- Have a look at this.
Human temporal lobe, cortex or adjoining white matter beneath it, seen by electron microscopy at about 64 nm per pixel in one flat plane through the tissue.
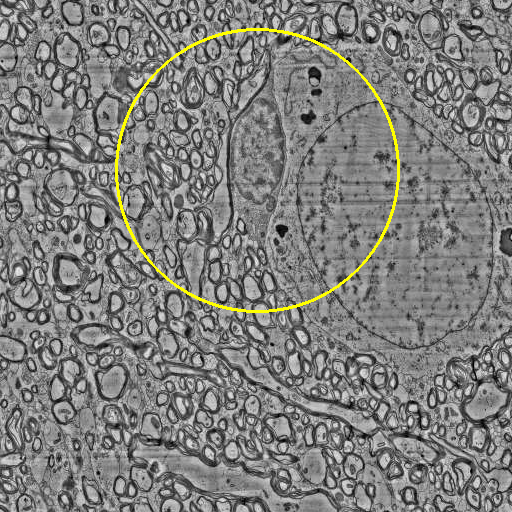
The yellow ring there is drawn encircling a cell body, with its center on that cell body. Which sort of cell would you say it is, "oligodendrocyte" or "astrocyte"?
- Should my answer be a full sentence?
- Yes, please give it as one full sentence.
For this picture, an oligodendrocyte is the cell where the yellow ring has its center.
